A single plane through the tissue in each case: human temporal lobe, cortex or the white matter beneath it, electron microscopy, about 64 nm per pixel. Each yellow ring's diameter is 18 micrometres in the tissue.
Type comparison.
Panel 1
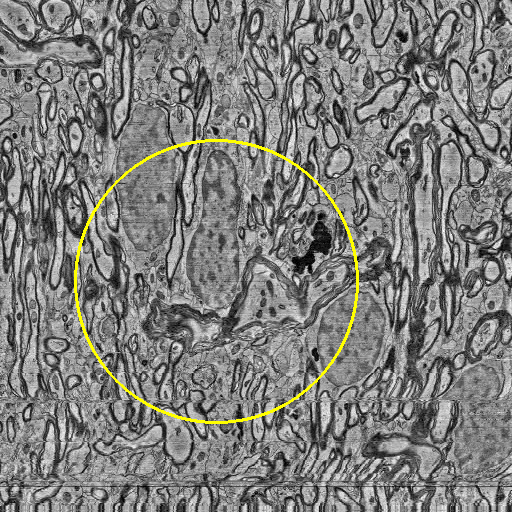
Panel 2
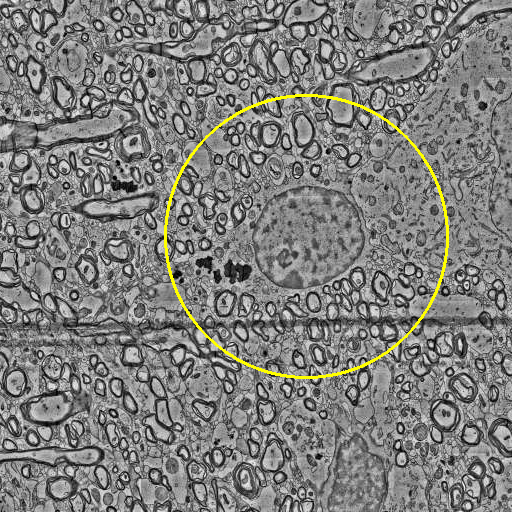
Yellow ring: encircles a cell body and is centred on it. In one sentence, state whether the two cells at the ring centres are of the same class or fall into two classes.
In these panels, the two cells at the ring centres fall into two classes.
